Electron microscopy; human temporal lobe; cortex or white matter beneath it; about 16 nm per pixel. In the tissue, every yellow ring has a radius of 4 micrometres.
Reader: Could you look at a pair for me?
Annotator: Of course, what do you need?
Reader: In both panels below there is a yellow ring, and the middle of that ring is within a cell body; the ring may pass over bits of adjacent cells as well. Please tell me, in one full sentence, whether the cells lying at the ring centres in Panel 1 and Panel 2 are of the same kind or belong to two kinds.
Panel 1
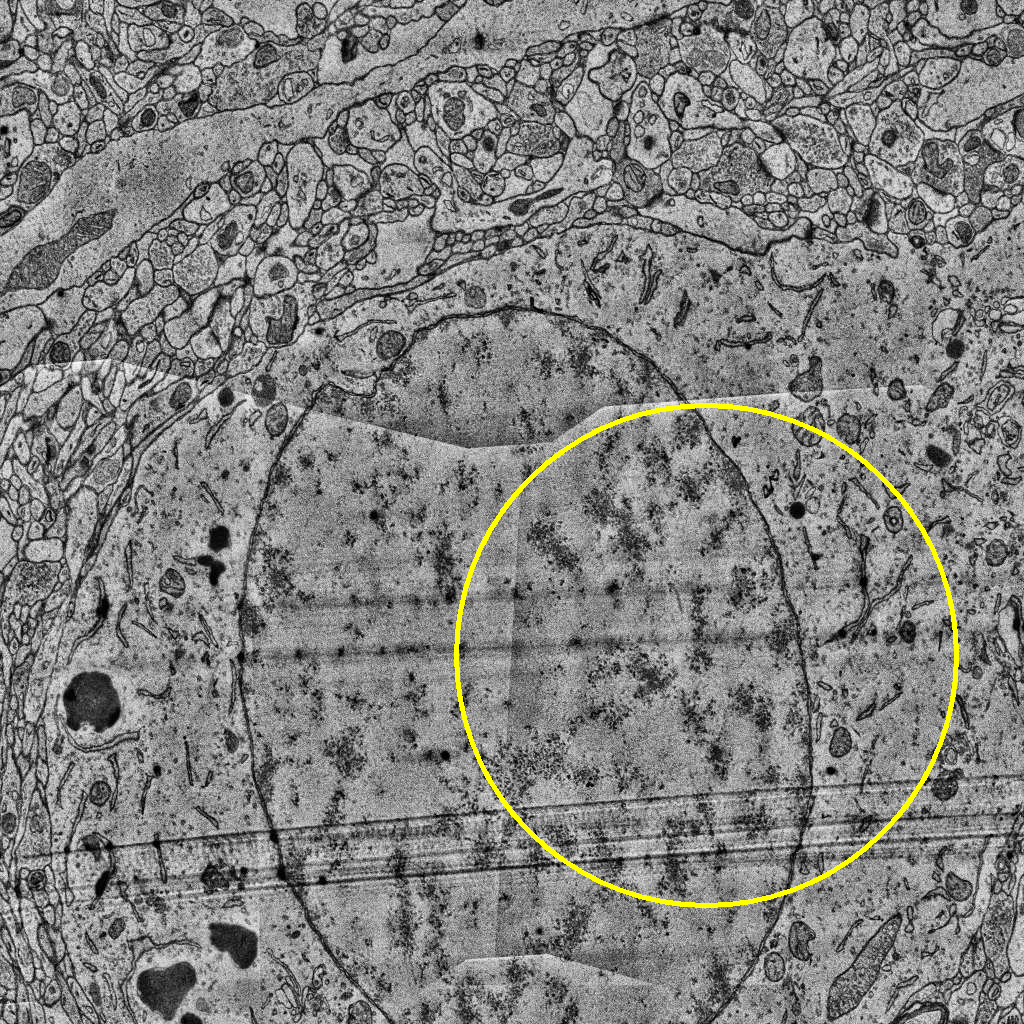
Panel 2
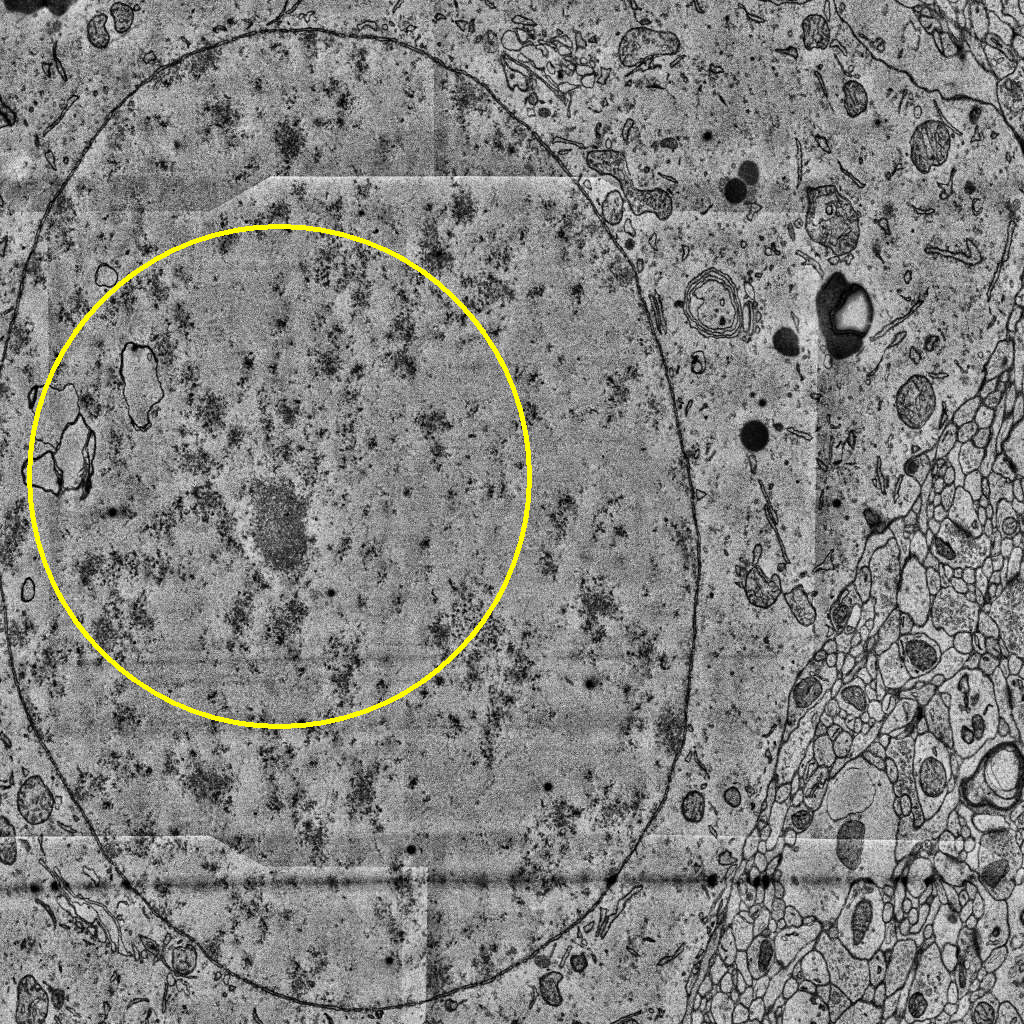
The cell at the ring's centre in Panel 1 and the one in Panel 2 are of the same kind.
